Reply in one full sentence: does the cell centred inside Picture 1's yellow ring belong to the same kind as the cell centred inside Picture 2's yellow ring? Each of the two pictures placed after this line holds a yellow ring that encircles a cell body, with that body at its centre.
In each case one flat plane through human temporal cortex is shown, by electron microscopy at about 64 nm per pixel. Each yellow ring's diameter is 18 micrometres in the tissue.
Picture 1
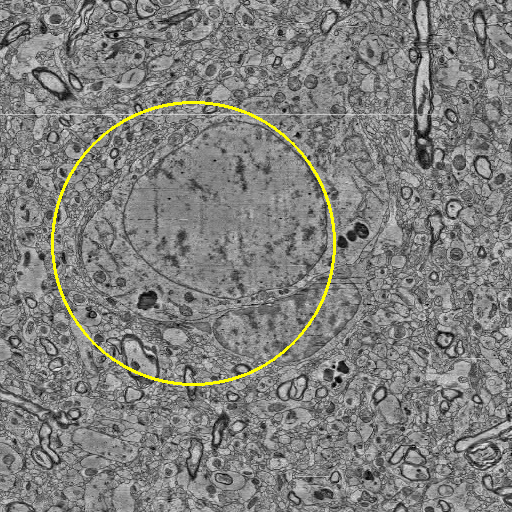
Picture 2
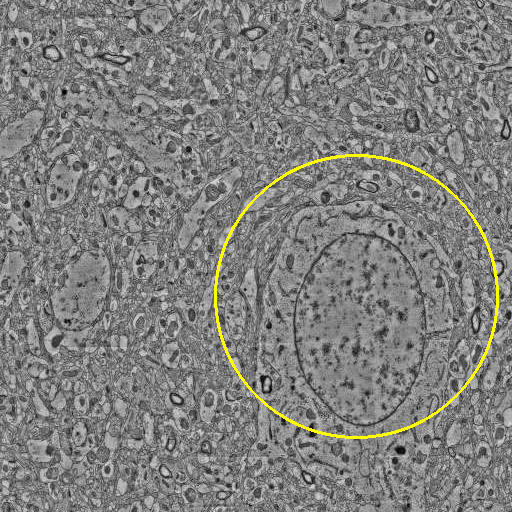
Yes, the ring-centred cells in Picture 1 and Picture 2 are of one and the same kind.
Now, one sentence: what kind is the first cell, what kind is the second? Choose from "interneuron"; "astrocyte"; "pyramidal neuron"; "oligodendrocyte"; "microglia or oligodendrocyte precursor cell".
The cell in the first picture is a pyramidal neuron, and so is the one in the second.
